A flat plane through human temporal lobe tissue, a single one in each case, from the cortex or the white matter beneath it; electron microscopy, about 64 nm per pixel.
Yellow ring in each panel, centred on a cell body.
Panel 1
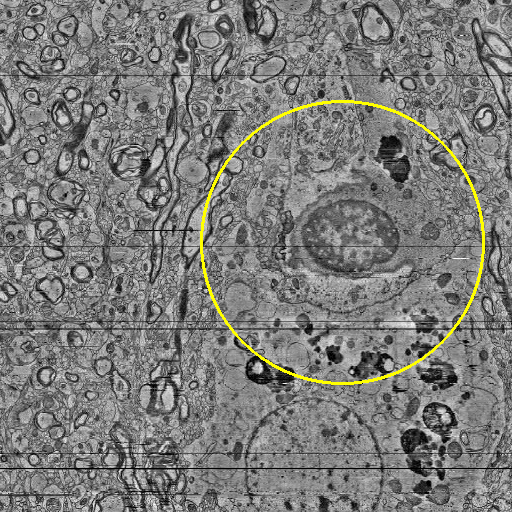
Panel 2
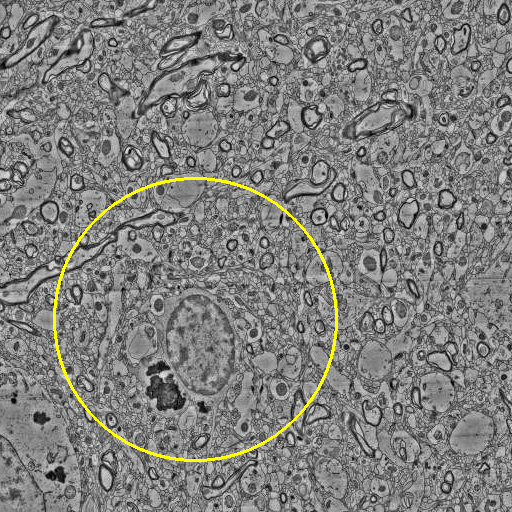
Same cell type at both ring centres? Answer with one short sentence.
Yes, both cells are of the same type.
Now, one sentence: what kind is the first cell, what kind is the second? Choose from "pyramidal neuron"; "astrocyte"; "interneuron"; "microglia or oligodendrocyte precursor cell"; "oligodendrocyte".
Both pictures show an oligodendrocyte at the centre of the ring.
